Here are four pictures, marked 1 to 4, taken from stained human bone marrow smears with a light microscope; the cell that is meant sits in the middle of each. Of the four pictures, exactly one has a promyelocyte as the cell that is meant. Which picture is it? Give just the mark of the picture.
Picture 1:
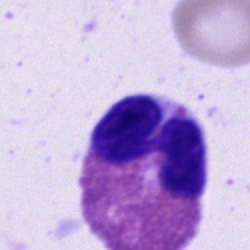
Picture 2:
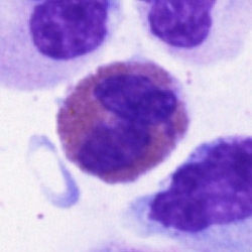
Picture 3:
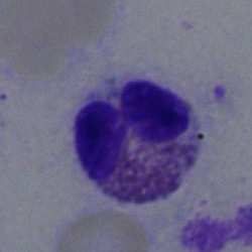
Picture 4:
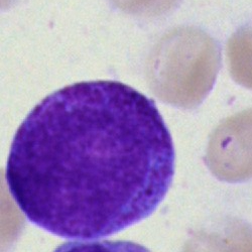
4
